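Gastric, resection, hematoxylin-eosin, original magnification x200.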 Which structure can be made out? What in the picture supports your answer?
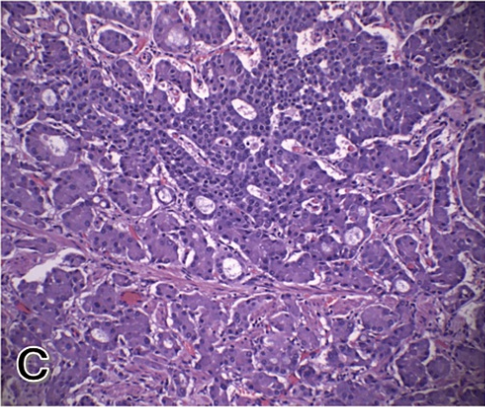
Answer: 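Tumor cells form nests separated by thin strands of fibrous stroma. Small round lumens lie within the nests, giving a gland-like arrangement. That points to this answer: nested and glandular patterns.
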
